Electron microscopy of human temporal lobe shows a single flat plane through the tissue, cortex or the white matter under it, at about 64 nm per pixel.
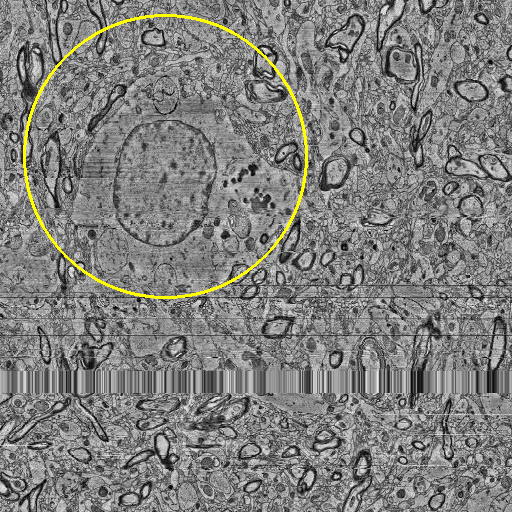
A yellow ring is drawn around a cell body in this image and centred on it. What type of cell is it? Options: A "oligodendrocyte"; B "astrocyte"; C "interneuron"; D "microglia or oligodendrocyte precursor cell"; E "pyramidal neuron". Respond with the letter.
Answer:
B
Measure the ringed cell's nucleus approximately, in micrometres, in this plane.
The ringed cell's nucleus measures approximately 8 by 6 micrometres in this plane.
